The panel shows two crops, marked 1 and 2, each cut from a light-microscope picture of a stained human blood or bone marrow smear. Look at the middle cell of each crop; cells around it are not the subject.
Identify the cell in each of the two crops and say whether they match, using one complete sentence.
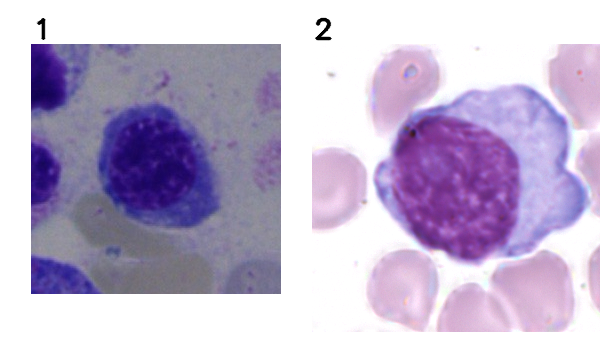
No, an erythroblast is centred in crop 1, and a plasma cell is centred in crop 2.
